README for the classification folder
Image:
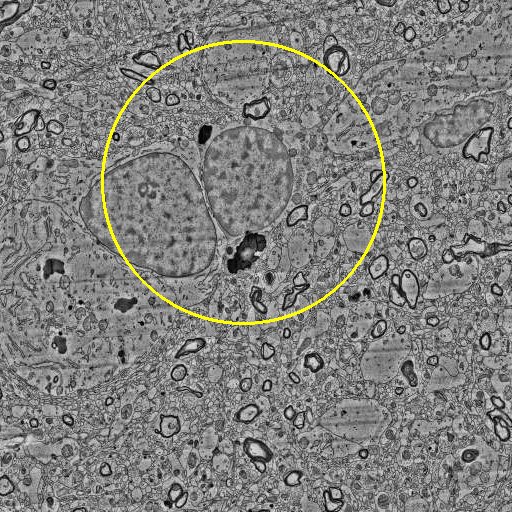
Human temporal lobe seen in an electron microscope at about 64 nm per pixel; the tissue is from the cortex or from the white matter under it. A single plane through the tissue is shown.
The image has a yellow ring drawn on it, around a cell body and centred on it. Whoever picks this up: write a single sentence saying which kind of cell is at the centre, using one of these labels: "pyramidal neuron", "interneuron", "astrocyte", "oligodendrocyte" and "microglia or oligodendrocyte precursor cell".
This cell body is that of an oligodendrocyte.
